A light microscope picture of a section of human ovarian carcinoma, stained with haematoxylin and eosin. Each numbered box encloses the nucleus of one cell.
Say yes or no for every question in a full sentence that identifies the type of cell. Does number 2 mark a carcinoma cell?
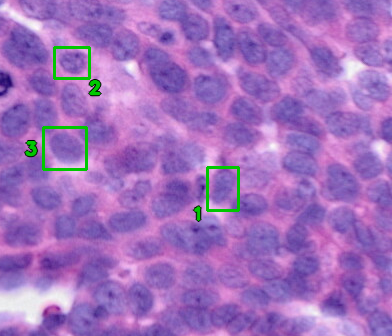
No, cell 2 is correctly identified as a macrophage or monocyte and not as a carcinoma cell.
